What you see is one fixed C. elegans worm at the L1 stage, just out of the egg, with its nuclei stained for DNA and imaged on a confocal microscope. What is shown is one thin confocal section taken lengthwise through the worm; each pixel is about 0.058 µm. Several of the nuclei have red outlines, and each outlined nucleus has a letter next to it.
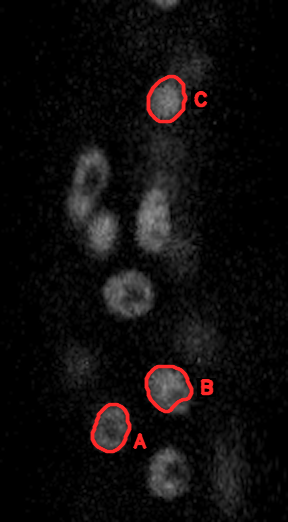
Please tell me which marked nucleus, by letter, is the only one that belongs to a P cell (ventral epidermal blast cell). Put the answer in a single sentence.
B is the nucleus of a P cell (ventral epidermal blast cell).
